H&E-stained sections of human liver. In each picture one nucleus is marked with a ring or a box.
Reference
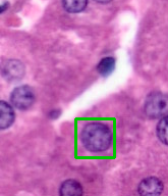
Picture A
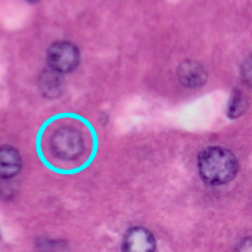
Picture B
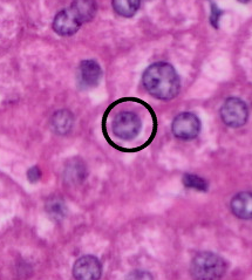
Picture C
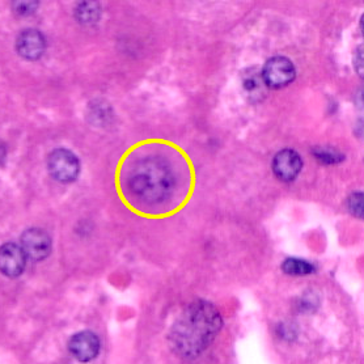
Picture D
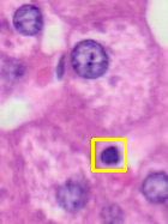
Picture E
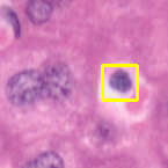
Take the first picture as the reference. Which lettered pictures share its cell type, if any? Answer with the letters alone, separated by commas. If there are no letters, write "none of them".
A, B, C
